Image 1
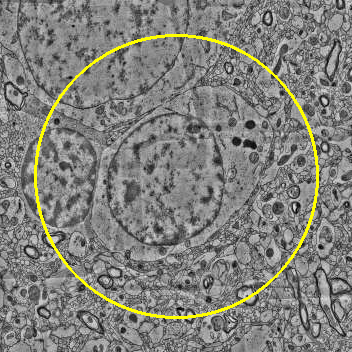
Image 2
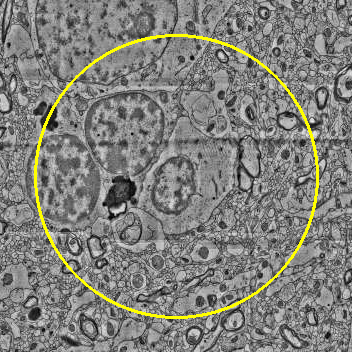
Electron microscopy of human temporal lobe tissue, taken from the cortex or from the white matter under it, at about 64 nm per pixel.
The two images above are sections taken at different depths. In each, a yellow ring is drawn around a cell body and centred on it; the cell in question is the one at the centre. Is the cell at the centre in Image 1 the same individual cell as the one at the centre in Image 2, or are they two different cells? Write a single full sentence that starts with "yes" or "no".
Yes, a single cell is the subject of both yellow rings.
